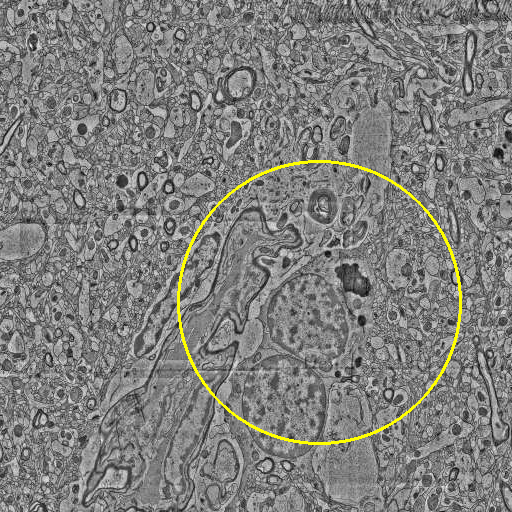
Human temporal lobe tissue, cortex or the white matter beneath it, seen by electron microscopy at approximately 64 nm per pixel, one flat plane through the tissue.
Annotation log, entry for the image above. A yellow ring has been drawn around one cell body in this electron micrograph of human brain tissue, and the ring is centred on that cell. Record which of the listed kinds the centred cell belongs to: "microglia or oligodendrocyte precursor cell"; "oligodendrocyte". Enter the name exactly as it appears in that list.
oligodendrocyte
